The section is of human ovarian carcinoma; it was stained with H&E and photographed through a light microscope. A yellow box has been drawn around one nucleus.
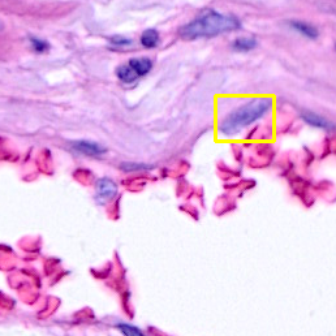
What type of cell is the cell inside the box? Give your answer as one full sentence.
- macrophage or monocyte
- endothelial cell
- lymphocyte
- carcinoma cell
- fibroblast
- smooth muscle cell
In terms of identity, the cell inside the box is an endothelial cell.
